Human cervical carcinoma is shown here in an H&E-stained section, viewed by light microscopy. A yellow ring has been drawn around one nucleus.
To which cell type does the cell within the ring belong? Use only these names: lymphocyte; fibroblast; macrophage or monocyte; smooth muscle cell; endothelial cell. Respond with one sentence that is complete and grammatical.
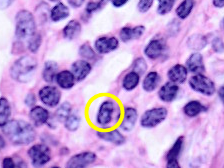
Typologically, the cell within the ring is a lymphocyte in this section.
